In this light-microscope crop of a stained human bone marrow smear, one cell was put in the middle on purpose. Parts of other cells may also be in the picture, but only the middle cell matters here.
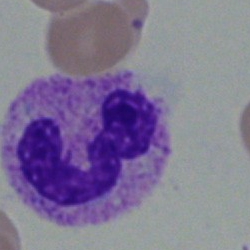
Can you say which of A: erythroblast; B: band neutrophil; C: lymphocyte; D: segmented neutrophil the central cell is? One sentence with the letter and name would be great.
Option B is correct; the cell in the middle is a band neutrophil.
